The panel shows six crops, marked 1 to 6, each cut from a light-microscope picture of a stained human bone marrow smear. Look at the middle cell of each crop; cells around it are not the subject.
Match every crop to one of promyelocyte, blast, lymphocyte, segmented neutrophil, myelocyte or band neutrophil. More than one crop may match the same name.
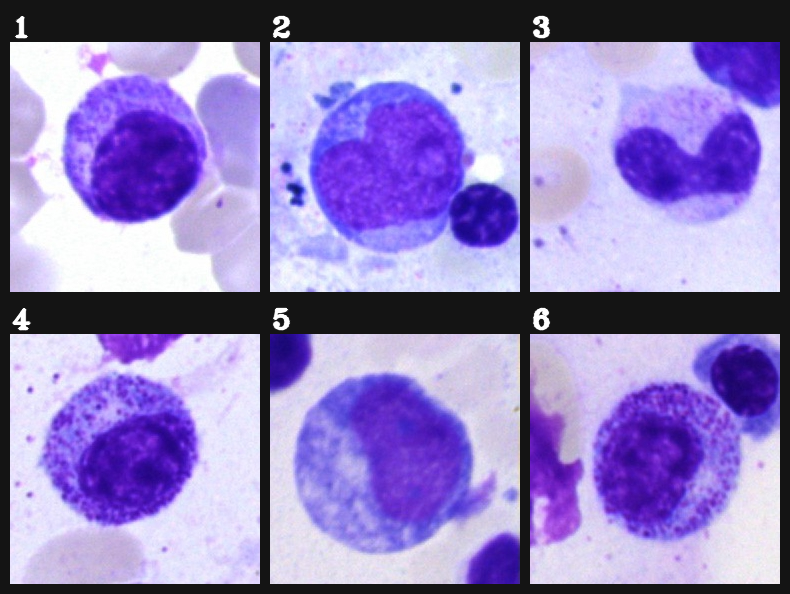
1: myelocyte
2: blast
3: band neutrophil
4: myelocyte
5: promyelocyte
6: promyelocyte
